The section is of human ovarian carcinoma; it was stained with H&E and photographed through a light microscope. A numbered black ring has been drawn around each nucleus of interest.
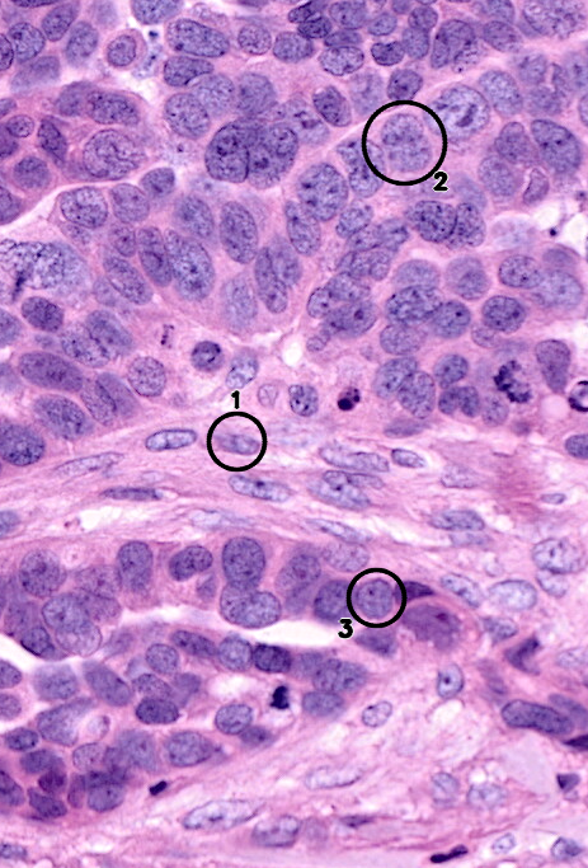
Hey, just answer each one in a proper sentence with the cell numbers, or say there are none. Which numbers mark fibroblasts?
The sole numbered cell that is a fibroblast is cell 1.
